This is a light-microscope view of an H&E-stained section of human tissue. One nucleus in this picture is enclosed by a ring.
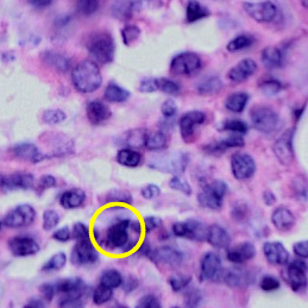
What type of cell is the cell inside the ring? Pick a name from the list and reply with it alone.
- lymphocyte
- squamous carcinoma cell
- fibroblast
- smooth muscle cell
lymphocyte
